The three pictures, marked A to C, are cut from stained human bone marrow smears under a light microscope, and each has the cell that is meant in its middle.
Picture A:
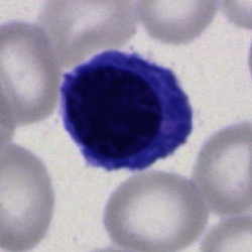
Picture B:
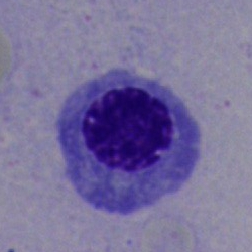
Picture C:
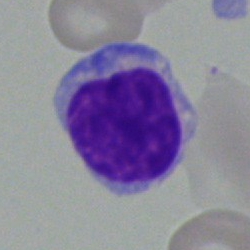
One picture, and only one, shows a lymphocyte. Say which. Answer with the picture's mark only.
C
